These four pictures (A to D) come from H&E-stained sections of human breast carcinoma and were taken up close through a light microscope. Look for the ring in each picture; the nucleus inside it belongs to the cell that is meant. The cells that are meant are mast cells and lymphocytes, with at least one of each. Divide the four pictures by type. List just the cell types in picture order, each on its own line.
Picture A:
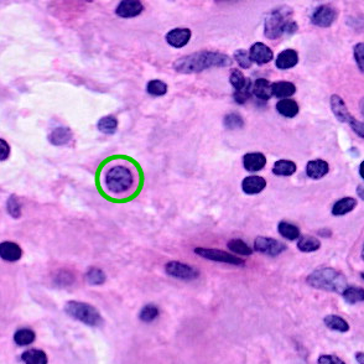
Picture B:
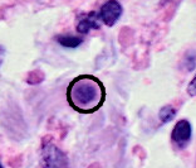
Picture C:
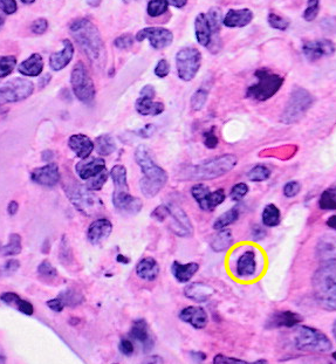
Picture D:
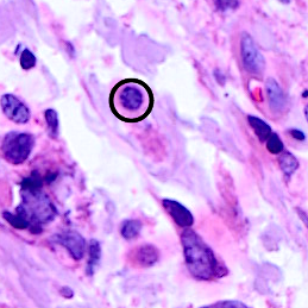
mast cell
mast cell
lymphocyte
mast cell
